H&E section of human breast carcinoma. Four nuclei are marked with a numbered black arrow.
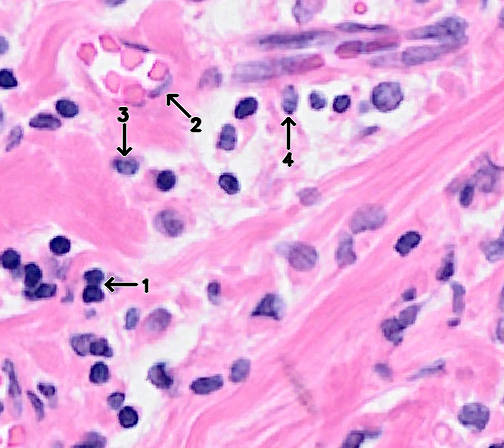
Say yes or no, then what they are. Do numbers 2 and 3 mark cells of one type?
No, sorry, cell 2 is an endothelial cell and cell 3 is a lymphocyte.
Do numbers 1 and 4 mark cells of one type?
Yes: cells 1 and 4 are both lymphocytes.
